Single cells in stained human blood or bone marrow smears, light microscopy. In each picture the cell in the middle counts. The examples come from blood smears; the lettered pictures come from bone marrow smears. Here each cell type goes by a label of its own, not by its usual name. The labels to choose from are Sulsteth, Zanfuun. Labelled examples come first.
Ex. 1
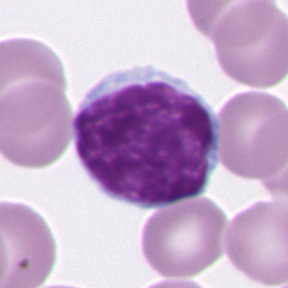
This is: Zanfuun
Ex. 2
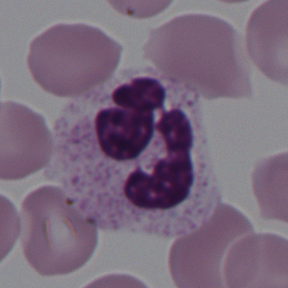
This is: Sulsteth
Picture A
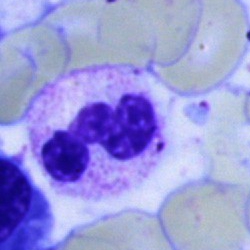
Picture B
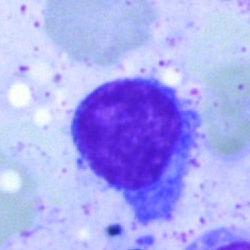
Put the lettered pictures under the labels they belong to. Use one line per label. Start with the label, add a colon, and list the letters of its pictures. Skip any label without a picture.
Sulsteth: A
Zanfuun: B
